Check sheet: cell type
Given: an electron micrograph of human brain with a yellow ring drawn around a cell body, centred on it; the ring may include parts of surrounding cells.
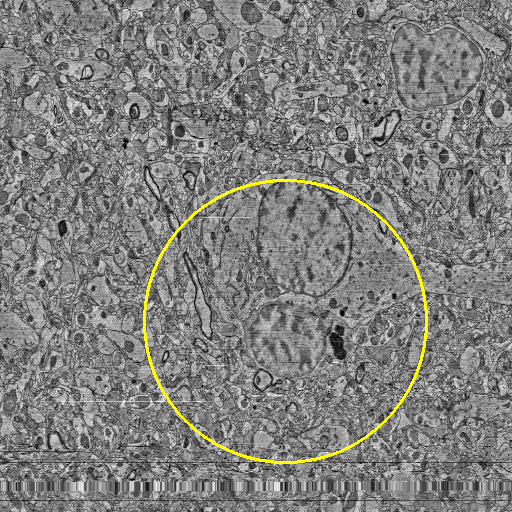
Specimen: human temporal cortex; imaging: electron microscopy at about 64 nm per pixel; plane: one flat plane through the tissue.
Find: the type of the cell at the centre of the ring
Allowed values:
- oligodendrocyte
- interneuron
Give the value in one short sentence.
Here the ringed cell is an oligodendrocyte.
